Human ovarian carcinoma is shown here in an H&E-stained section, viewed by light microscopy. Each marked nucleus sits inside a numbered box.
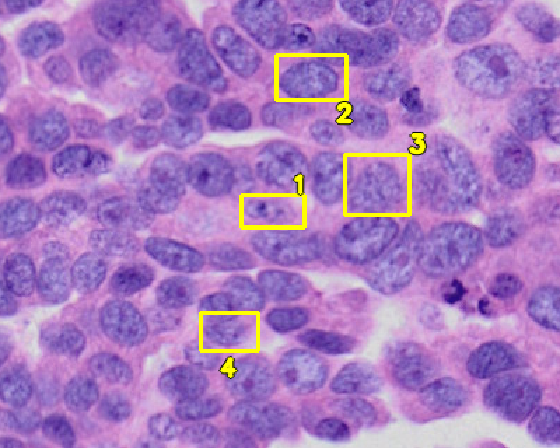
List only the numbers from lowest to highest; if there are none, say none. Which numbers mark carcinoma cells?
2, 3, 4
